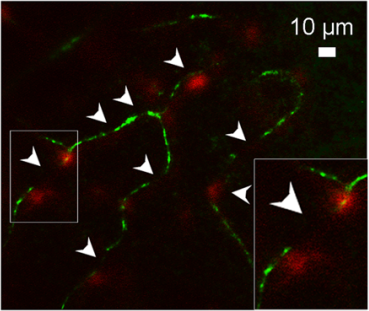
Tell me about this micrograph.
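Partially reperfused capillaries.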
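Red rounded cell bodies of pericytes lie along the course of the vessels, and the enlarged inset shows a red soma sitting right at a spot where the green stream is interrupted. Other red bodies lie somewhat off the vessels, blurred by lying in other focal planes.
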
